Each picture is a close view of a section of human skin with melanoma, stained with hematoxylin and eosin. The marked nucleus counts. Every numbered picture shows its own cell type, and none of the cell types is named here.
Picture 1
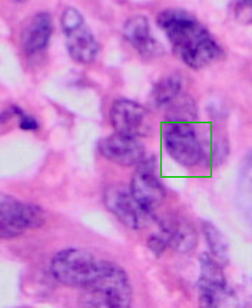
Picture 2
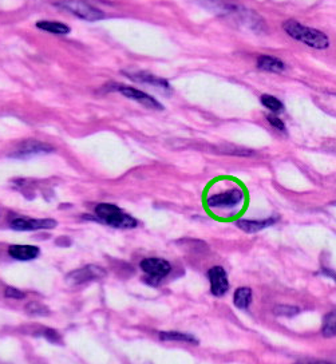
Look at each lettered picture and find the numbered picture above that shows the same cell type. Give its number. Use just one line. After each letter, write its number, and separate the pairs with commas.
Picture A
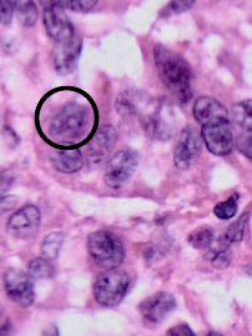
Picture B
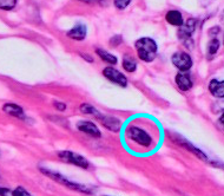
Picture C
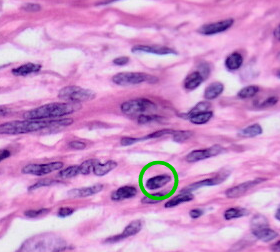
A 1, B 2, C 2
